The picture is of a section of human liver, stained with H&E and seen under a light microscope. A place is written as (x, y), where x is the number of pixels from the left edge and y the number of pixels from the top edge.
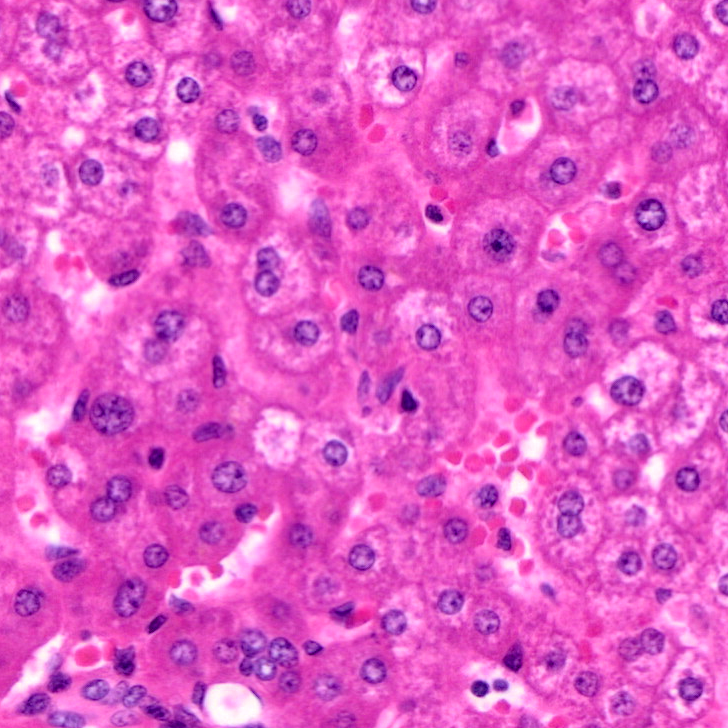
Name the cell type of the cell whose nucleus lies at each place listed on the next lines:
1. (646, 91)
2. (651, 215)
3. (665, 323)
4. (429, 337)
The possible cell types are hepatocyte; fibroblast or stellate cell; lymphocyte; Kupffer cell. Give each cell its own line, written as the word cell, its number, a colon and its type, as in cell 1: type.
cell 1: hepatocyte
cell 2: hepatocyte
cell 3: Kupffer cell
cell 4: hepatocyte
